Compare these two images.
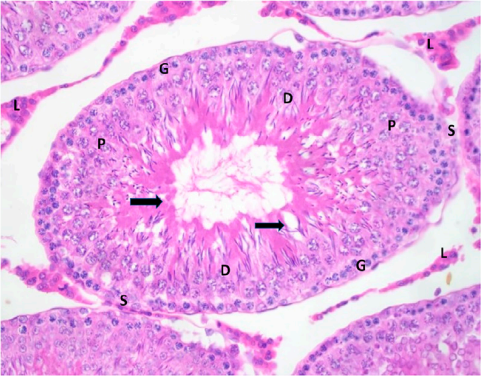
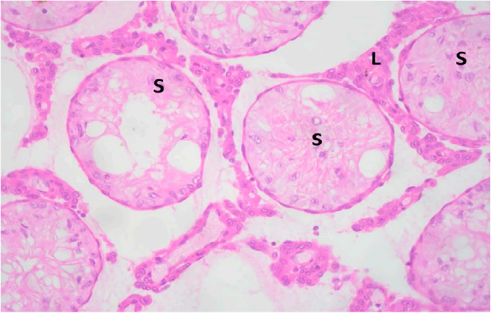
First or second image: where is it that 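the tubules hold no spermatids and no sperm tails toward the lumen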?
The second image.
